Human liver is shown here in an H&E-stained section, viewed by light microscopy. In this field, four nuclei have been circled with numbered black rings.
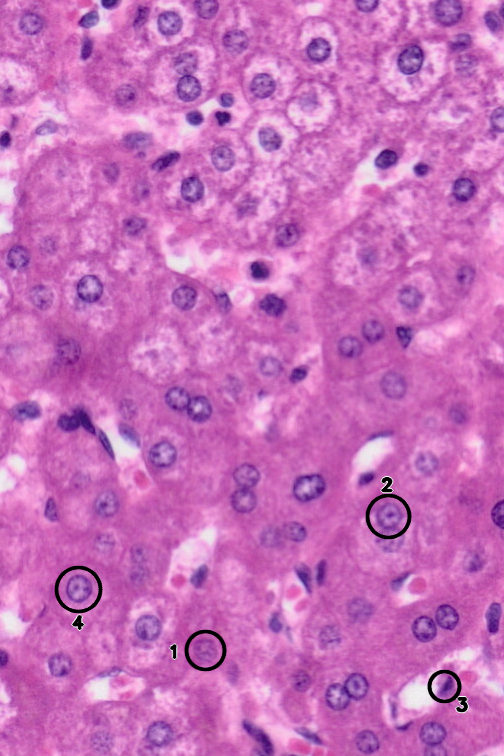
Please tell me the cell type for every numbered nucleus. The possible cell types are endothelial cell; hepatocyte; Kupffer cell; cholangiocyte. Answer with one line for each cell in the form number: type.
1: hepatocyte
2: hepatocyte
3: Kupffer cell
4: hepatocyte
